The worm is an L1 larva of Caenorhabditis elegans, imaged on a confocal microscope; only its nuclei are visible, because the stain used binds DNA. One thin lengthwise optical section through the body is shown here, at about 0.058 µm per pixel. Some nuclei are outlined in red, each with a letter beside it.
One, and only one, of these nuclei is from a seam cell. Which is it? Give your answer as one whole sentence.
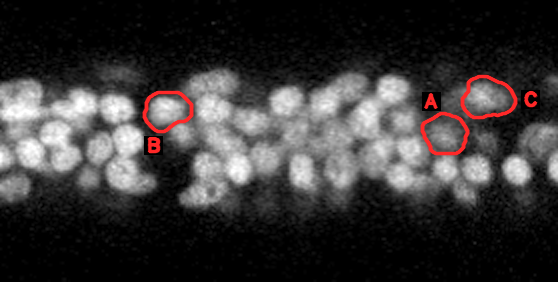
The one from a seam cell is B.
